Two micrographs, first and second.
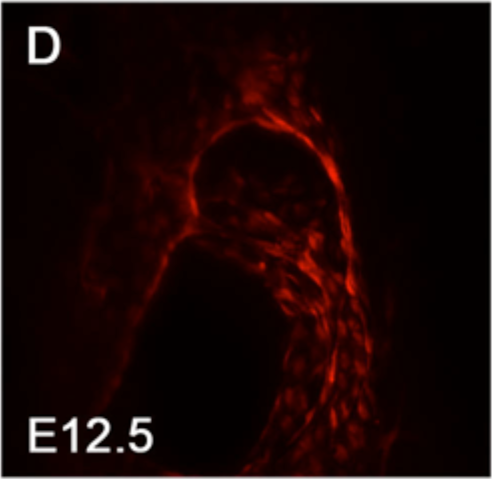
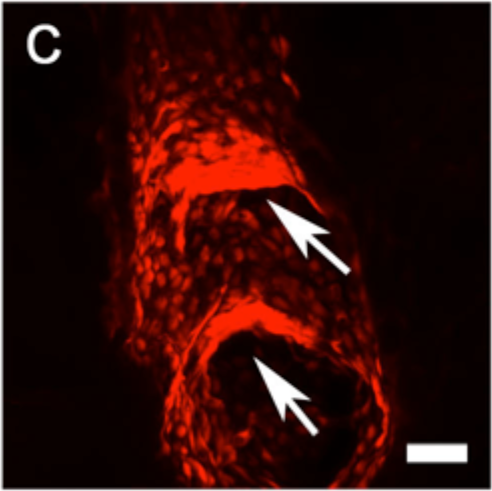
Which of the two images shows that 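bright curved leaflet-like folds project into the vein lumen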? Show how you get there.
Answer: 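First image: the vein wall is a thin, faint red lining with no bright folds. Second image: two intensely red, curved flap-like folds of cells protrude into the lumen.
Hence: the second image.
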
